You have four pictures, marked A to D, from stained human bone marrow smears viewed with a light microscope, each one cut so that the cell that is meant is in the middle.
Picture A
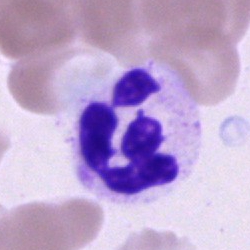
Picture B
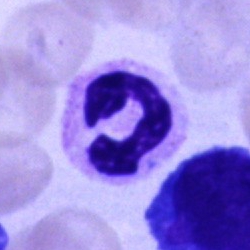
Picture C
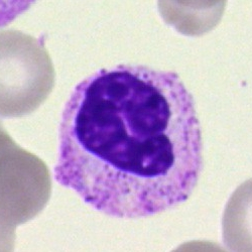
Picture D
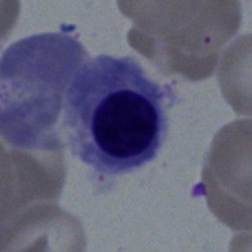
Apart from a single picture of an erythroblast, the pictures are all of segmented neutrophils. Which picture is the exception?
D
